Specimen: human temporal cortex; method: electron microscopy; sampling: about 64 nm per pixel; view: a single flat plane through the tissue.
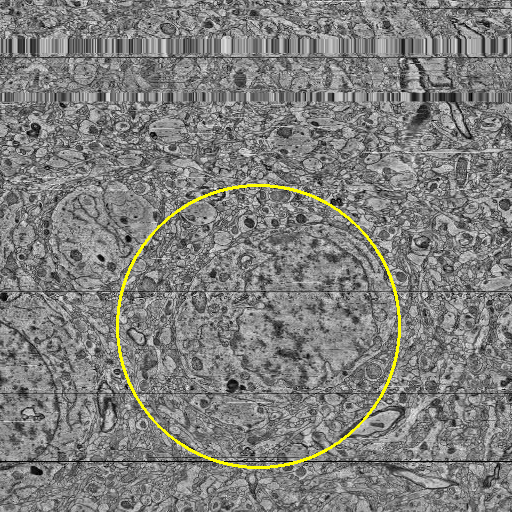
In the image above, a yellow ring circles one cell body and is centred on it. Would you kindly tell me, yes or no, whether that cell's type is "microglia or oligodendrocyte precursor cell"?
no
